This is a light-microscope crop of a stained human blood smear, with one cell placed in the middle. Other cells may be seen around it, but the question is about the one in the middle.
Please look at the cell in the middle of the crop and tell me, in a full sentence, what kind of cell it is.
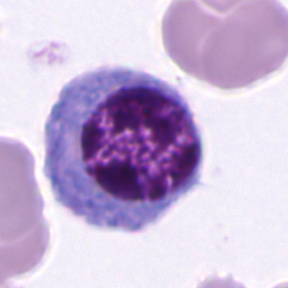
The center cell of this crop is a plasma cell.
